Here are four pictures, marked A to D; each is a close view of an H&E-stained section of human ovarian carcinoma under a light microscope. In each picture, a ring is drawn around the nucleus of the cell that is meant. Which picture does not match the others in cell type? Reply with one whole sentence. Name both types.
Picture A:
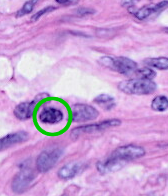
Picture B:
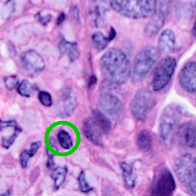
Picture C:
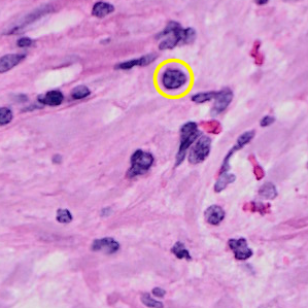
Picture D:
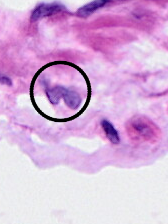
Picture D is the odd one out: it shows a “macrophage or monocyte”, while the others show lymphocytes.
